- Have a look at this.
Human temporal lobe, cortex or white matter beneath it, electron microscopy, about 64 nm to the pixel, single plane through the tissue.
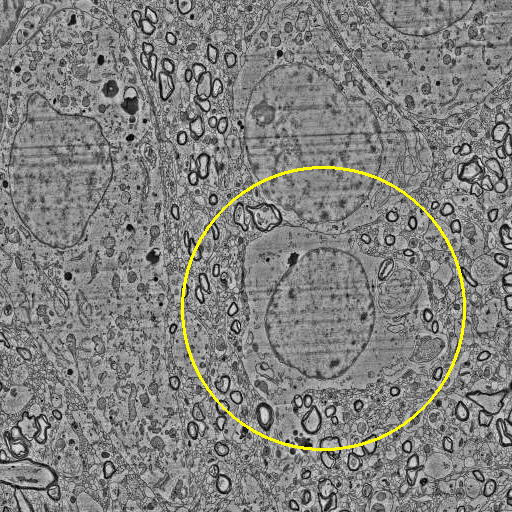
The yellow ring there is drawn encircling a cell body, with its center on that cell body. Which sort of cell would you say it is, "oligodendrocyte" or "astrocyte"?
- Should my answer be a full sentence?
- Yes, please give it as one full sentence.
For this picture, an astrocyte is the cell where the yellow ring has its center.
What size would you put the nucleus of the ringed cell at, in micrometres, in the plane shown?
In this plane the nucleus measures roughly 8 by 7 micrometres.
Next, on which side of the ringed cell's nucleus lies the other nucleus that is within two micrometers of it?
The other nucleus sits above it.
